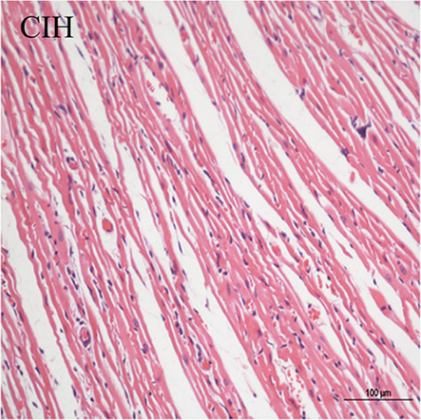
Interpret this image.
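Pink muscle fibers of heart tissue run obliquely in bundles with many elongated purple nuclei, separated by pale clefts of varying width. The fibers appear thinner and somewhat wavy in places, and several small rounded spaces with red content lie between them. Dark nuclei are numerous between the fibers. These are cardiomyocytes of the heart wall cut along their length.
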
